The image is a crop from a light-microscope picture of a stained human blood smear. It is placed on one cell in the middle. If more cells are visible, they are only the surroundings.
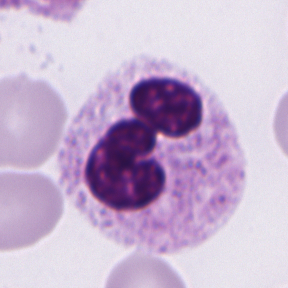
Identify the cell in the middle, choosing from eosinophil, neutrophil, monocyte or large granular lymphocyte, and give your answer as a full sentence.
In the middle of this smear crop, the cell is a neutrophil.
